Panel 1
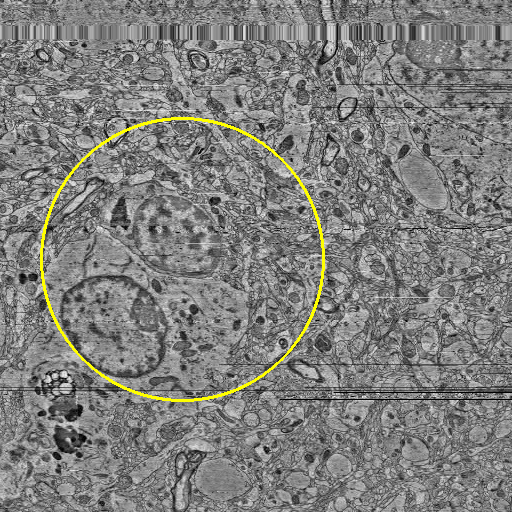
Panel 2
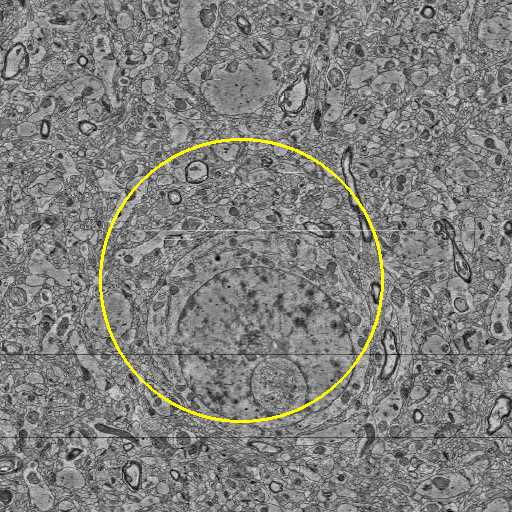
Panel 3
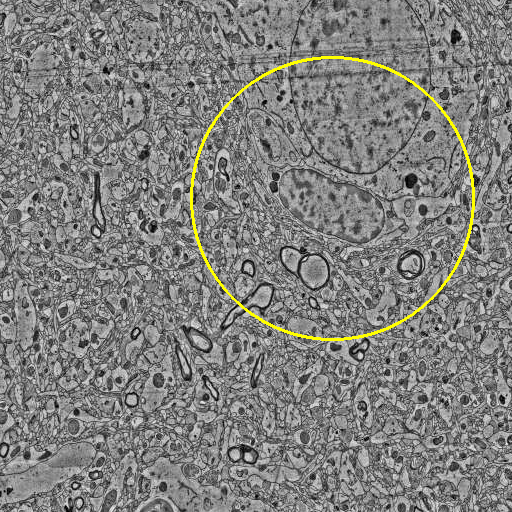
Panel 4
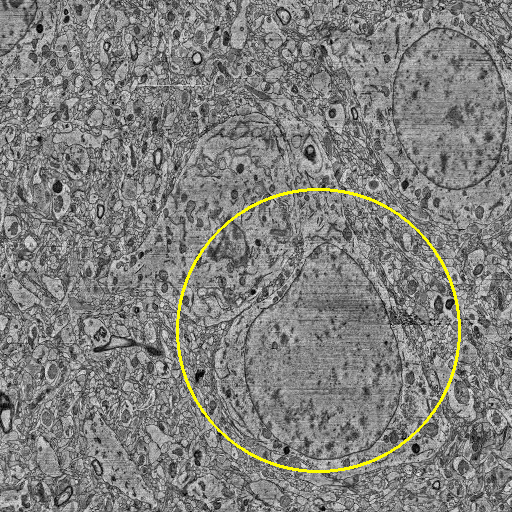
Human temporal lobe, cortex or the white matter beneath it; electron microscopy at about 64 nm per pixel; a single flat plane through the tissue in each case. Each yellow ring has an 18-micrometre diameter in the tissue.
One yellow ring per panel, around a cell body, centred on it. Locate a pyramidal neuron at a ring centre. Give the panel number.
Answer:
4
